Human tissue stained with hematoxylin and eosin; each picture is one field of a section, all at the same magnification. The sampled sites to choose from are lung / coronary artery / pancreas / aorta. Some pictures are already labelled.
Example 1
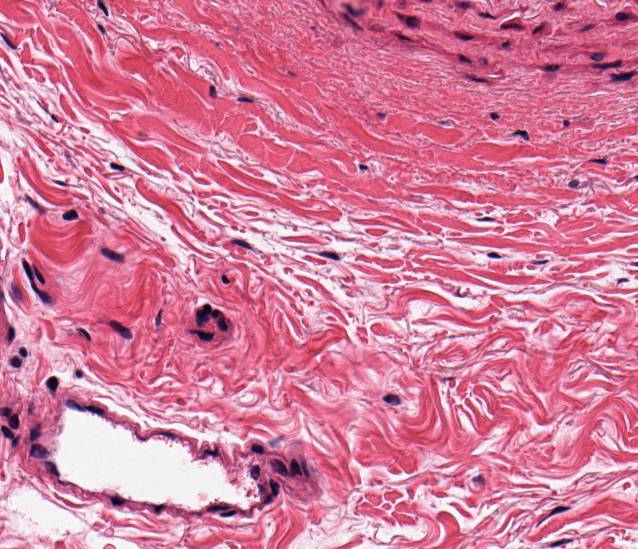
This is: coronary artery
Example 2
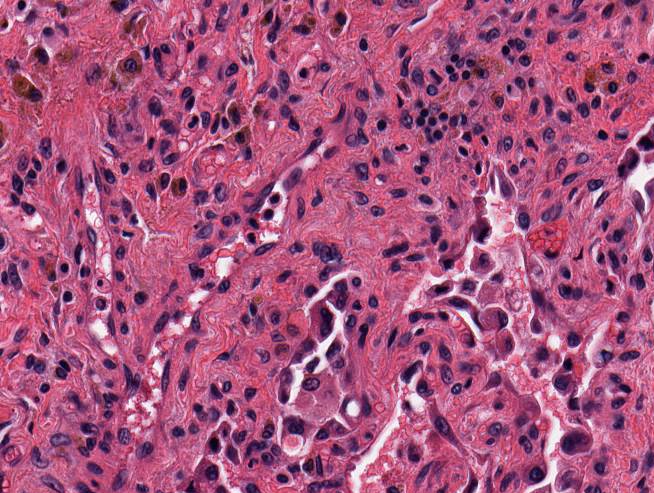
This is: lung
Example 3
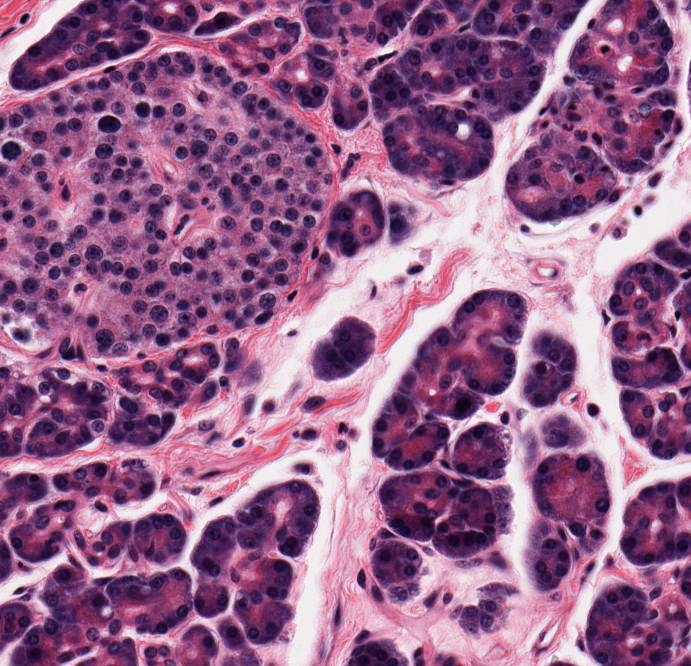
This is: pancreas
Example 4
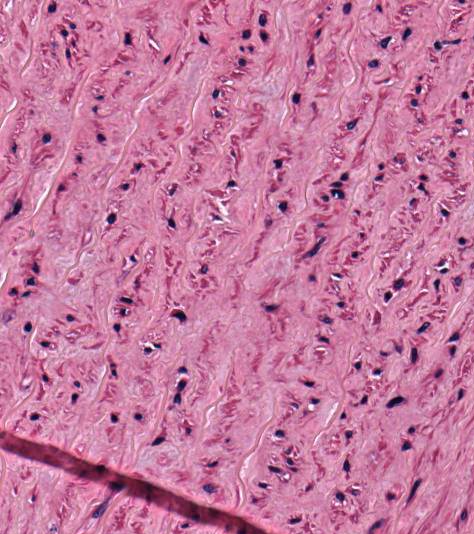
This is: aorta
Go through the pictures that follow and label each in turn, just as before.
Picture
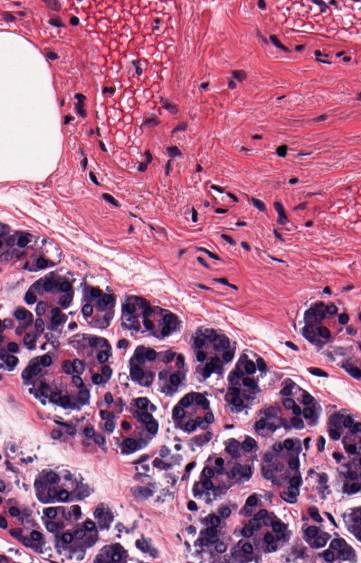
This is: pancreas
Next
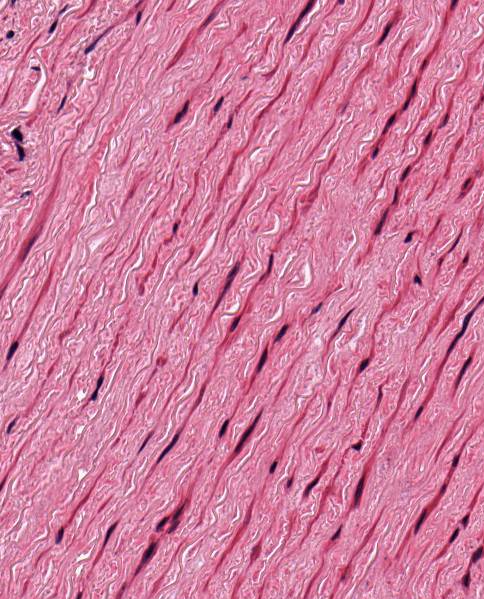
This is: aorta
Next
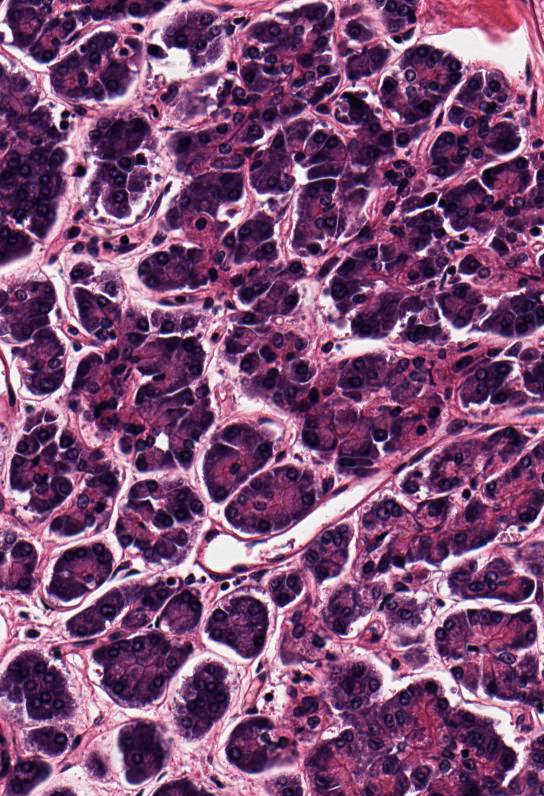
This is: pancreas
